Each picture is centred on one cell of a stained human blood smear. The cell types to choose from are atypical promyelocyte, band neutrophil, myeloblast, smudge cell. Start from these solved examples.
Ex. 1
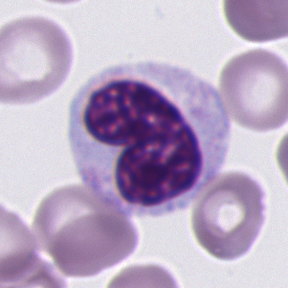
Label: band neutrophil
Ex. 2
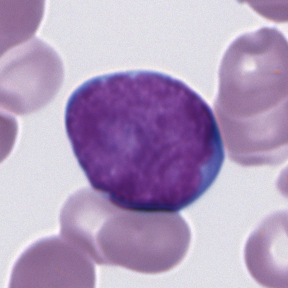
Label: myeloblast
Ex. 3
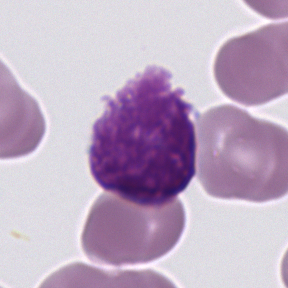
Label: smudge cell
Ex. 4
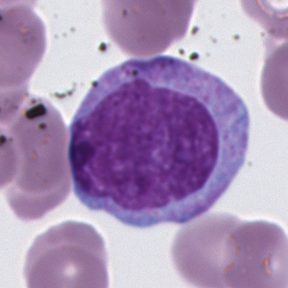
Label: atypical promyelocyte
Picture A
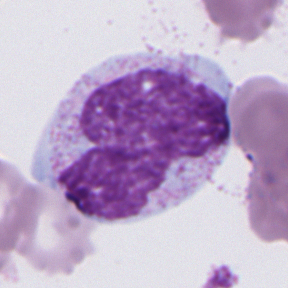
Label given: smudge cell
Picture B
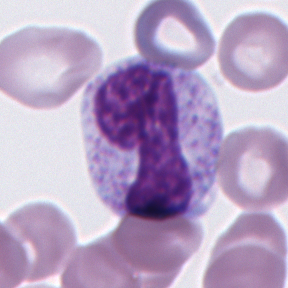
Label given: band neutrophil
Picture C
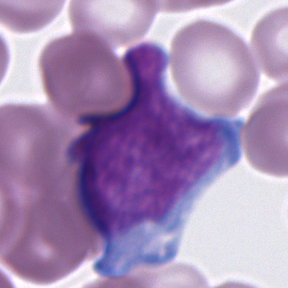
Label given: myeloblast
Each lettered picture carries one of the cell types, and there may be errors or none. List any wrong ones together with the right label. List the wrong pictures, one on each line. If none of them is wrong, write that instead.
Wrong: A (smudge cell); correct: band neutrophil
